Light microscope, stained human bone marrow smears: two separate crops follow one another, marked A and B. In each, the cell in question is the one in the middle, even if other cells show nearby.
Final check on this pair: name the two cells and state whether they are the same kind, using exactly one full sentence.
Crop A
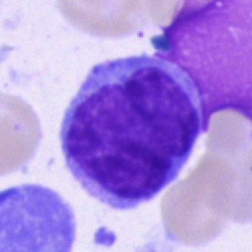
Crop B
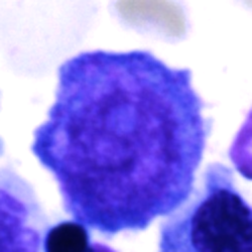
No, the cell at the middle of crop A is a monocyte, while crop B centres on a promyelocyte.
